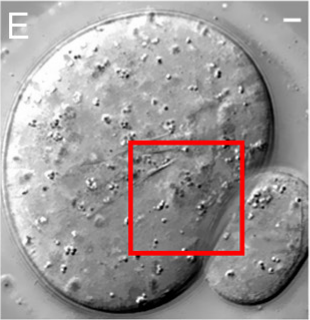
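A single very large, nearly spherical cell fills the field, its surface and cytoplasm sprinkled with many small, bright, dot-like inclusions, some lying in little clusters. At its lower right edge a much smaller round body sits pressed against it, itself containing a few granules. The size, round shape and small companion body fit a mature egg cell arrested in second meiotic metaphase.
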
